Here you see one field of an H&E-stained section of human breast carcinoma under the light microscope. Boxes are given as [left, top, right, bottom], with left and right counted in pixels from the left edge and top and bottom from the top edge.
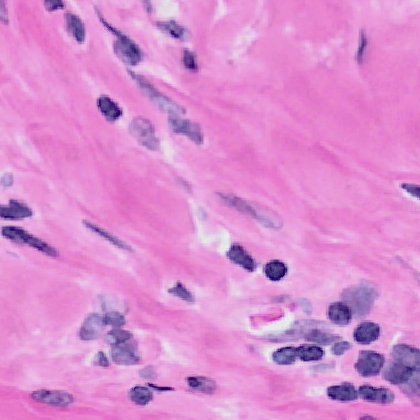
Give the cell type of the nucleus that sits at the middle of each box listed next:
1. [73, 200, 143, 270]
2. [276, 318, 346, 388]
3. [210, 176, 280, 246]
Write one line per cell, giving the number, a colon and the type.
1: fibroblast
2: lymphocyte
3: fibroblast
